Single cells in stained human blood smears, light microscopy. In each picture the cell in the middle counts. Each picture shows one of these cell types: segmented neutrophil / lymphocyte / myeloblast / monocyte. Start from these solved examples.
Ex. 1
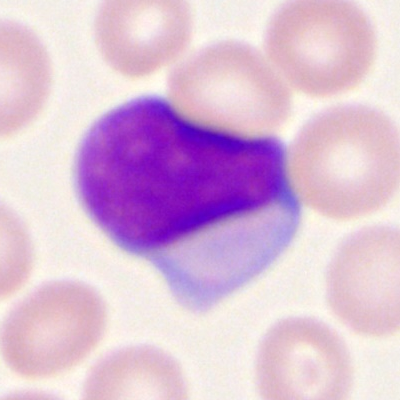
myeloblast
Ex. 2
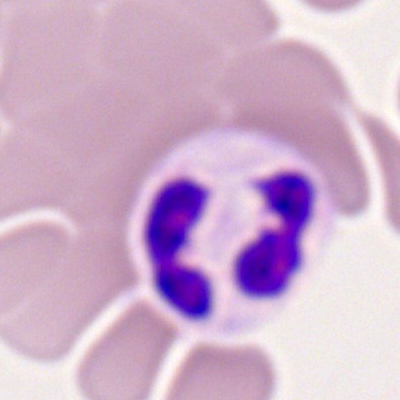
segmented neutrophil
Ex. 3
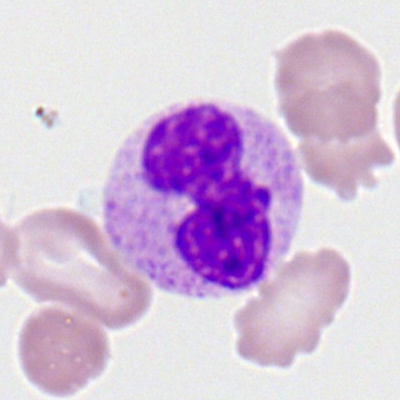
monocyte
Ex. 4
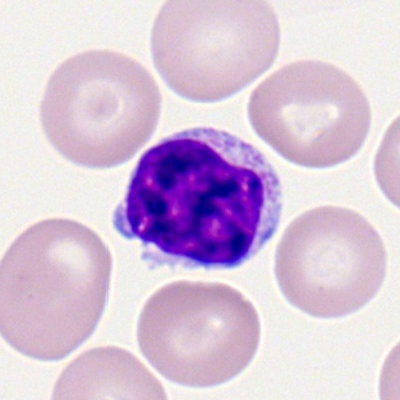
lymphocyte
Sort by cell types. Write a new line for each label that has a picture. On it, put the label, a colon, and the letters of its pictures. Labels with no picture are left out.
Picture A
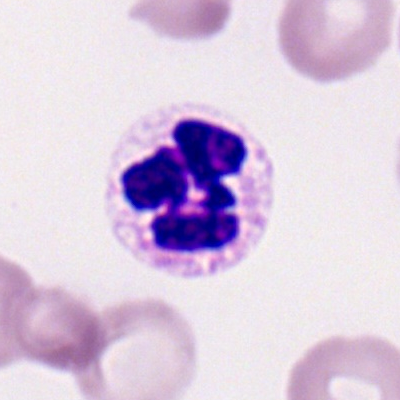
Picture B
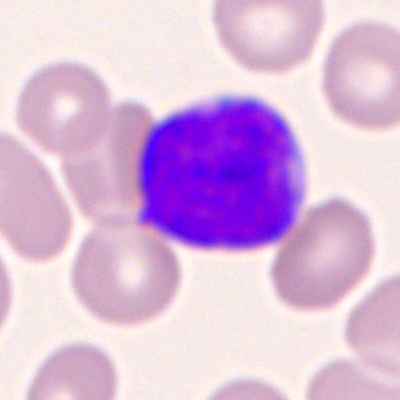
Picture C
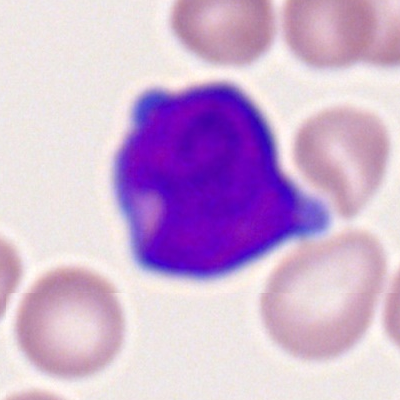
segmented neutrophil: A
myeloblast: B, C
